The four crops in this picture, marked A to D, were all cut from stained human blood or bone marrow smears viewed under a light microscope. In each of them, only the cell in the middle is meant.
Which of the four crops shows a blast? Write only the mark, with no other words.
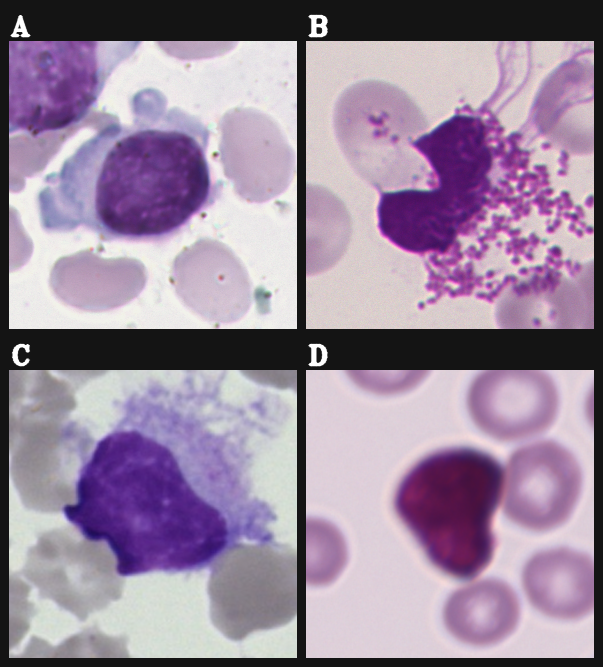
D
